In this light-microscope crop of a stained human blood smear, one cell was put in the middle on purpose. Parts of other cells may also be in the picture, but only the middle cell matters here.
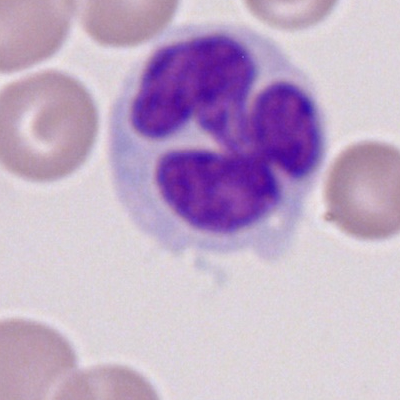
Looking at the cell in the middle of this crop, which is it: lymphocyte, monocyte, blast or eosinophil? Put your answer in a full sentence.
The cell that lies at the centre of the crop is a monocyte.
